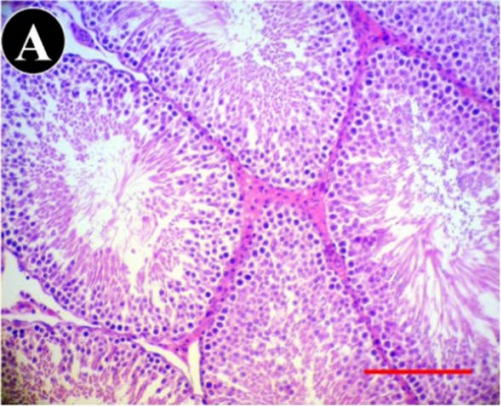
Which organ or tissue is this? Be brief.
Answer: germinal epithelium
